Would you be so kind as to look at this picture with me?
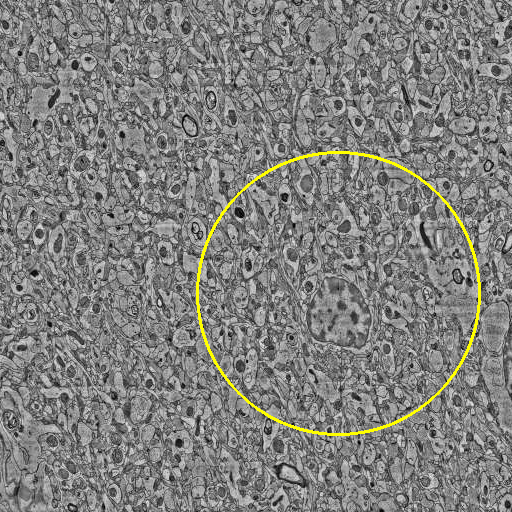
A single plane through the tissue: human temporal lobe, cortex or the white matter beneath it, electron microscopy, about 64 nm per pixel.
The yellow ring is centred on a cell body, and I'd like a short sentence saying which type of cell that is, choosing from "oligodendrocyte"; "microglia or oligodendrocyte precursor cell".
The cell body in the ring belongs to a microglial cell or oligodendrocyte precursor cell.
